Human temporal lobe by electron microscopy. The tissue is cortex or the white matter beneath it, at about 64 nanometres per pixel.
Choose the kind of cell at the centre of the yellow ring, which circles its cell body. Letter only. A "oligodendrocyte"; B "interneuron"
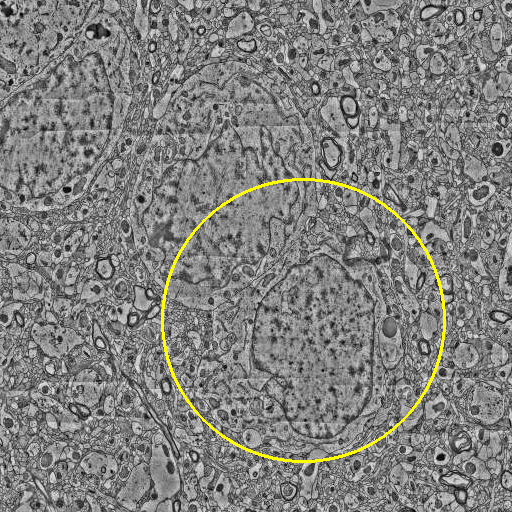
B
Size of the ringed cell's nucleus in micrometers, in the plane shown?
In this plane the nucleus spans approximately 12 by 8 micrometers.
